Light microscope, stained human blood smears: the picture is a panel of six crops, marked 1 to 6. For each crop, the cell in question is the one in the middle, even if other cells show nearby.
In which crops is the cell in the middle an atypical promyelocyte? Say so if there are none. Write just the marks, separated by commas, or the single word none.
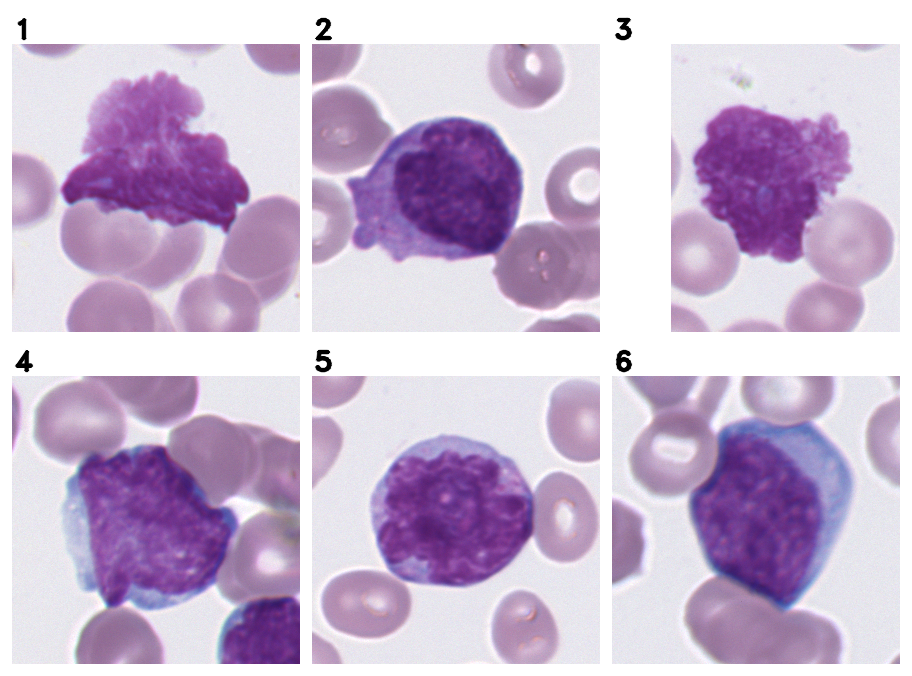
2, 5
